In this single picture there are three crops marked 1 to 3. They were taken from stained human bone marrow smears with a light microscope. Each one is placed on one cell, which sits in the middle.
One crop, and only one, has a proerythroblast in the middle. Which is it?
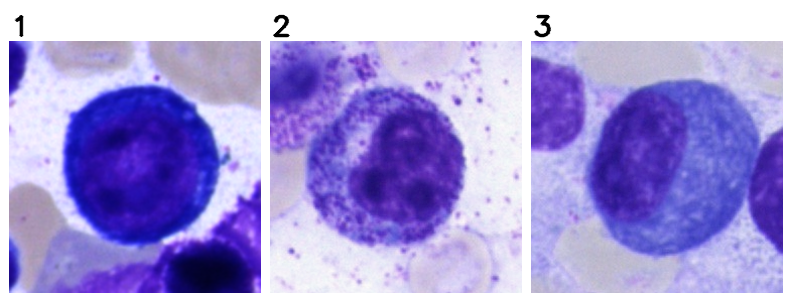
1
